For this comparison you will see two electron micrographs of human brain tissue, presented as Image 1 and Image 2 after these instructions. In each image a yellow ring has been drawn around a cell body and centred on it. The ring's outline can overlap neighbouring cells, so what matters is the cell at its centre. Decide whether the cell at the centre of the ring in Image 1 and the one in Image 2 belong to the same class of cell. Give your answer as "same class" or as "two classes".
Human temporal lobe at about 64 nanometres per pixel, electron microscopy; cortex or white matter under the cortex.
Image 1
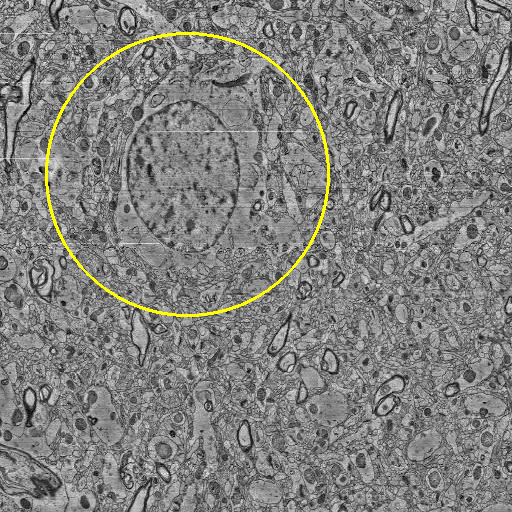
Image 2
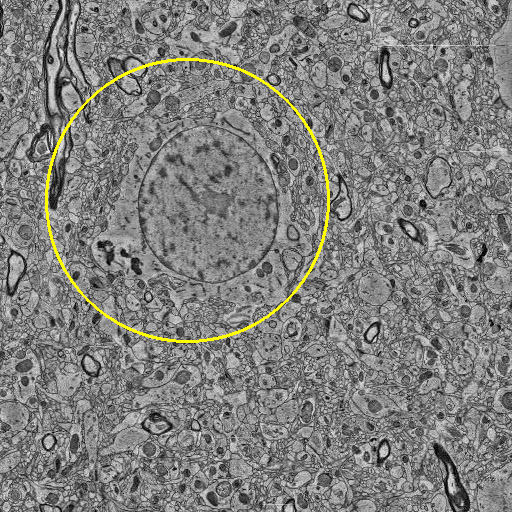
same class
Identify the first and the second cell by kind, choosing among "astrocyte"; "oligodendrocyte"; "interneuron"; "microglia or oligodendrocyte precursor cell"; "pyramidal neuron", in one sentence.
Each one of the two ringed cells is an astrocyte.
